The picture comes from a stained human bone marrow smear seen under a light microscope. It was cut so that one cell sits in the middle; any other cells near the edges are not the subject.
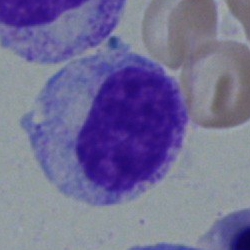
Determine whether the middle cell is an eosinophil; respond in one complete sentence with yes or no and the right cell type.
No, the middle cell is classified as a myelocyte instead of an eosinophil.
